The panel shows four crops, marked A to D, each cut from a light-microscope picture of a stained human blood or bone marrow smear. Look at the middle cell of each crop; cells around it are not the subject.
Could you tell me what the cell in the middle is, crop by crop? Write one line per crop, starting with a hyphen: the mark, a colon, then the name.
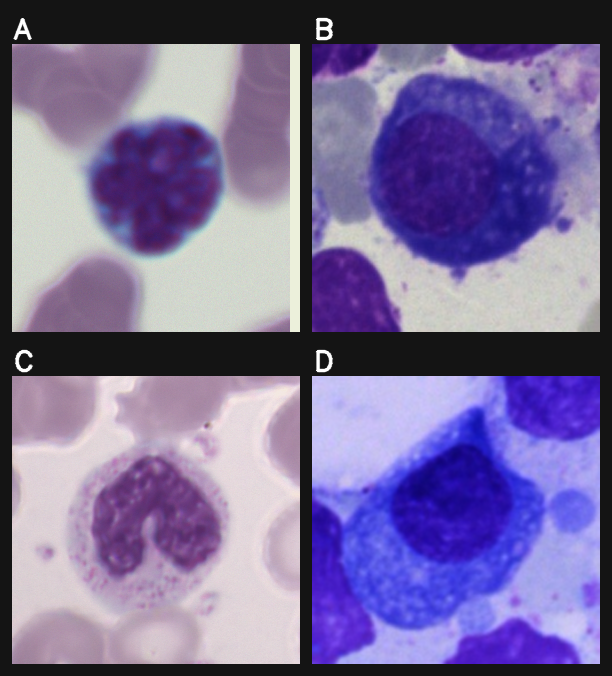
- A: lymphocyte
- B: plasma cell
- C: band neutrophil
- D: plasma cell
